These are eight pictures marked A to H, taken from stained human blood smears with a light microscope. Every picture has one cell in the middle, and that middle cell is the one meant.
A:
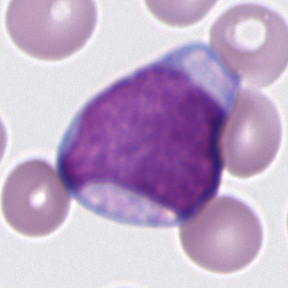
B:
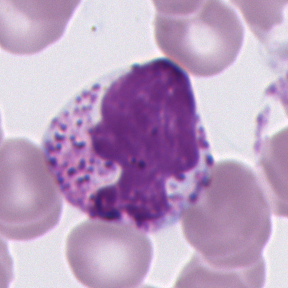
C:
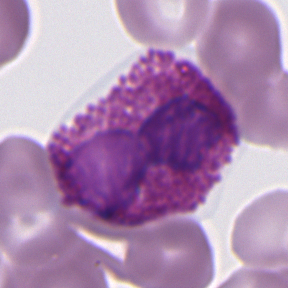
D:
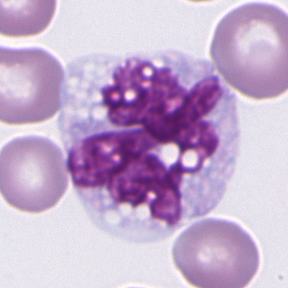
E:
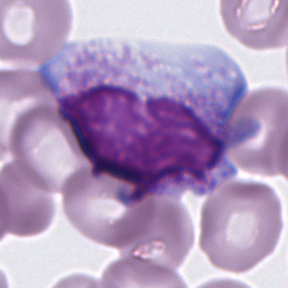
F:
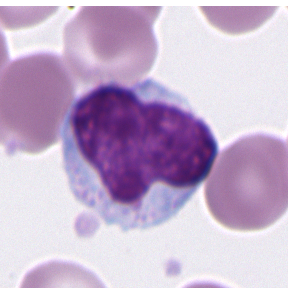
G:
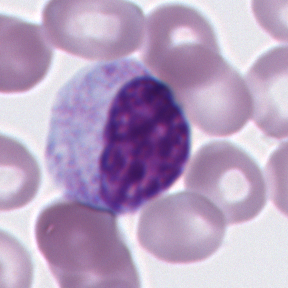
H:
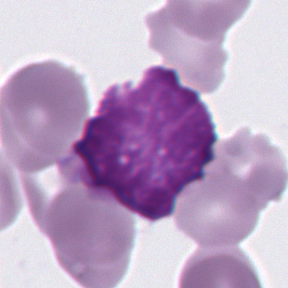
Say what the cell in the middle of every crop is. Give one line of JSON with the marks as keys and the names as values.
{"A": "atypical promyelocyte", "B": "basophil", "C": "eosinophil", "D": "monocyte", "E": "promyelocyte", "F": "typical lymphocyte", "G": "metamyelocyte", "H": "smudge cell"}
